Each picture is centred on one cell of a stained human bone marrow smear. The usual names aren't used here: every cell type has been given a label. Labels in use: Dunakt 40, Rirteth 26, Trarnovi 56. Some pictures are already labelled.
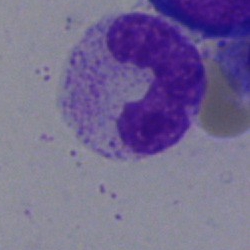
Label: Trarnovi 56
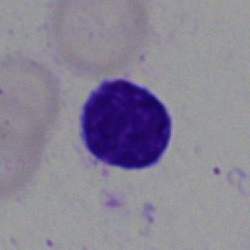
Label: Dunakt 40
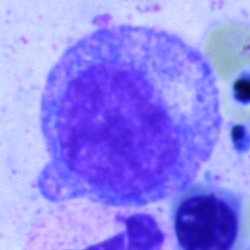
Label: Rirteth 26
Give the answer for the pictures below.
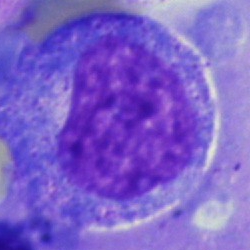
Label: Rirteth 26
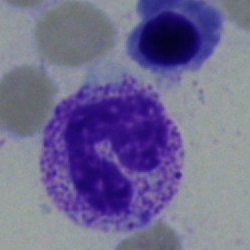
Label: Trarnovi 56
